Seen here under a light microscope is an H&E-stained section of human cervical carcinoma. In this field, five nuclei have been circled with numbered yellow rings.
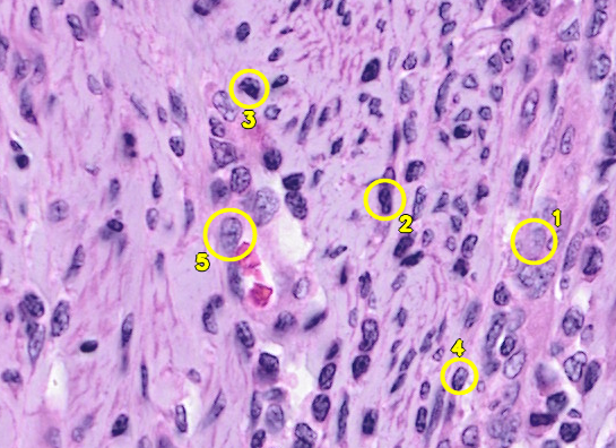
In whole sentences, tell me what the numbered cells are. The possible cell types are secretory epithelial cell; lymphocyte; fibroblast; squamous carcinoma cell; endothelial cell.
Cell 1 is an endothelial cell, cell 2 is a lymphocyte, cell 3 is a lymphocyte, cell 4 is a lymphocyte and cell 5 is an endothelial cell.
